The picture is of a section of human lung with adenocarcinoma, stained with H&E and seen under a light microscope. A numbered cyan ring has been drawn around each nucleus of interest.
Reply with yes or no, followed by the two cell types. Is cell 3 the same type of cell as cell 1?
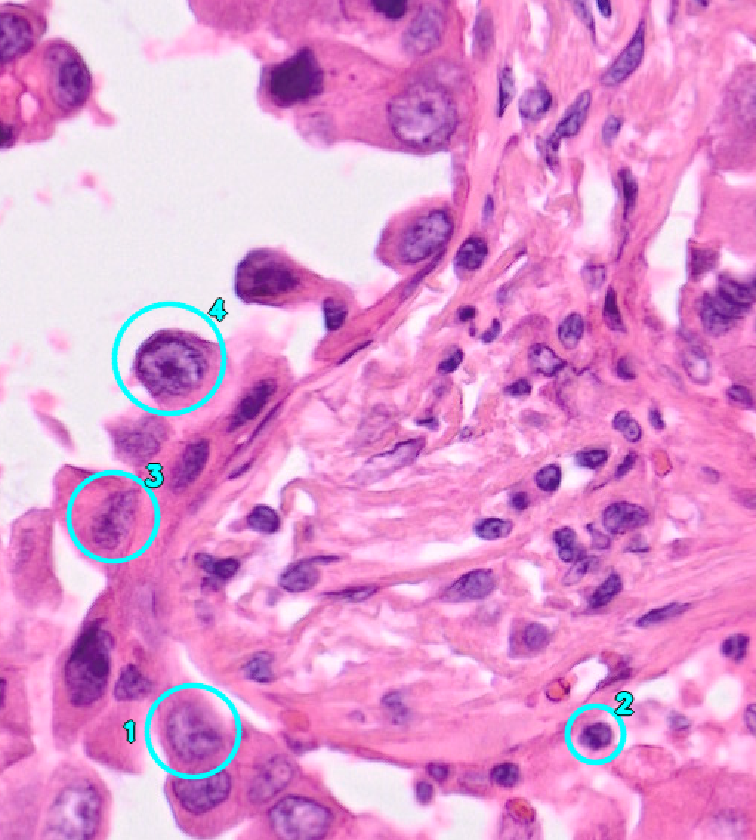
Yes, the two numbered cells, 3 and 1, are both carcinoma cells.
